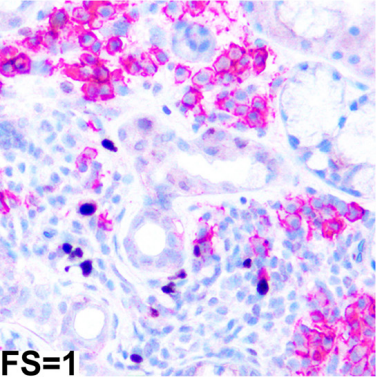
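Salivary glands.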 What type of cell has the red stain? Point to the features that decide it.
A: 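Plasma cell. Clusters of round cells with red-rimmed membranes lie between gland tubules. The red-rimmed cells have round nuclei and ample cytoplasm.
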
